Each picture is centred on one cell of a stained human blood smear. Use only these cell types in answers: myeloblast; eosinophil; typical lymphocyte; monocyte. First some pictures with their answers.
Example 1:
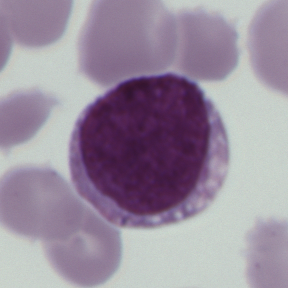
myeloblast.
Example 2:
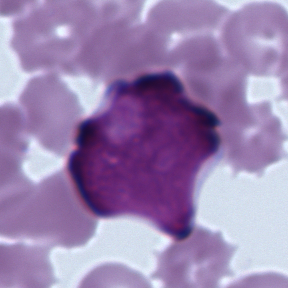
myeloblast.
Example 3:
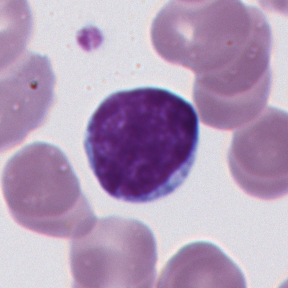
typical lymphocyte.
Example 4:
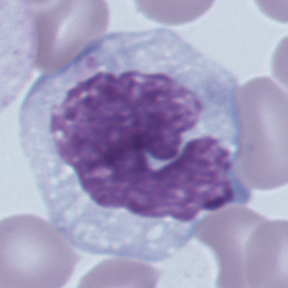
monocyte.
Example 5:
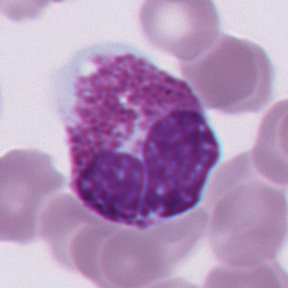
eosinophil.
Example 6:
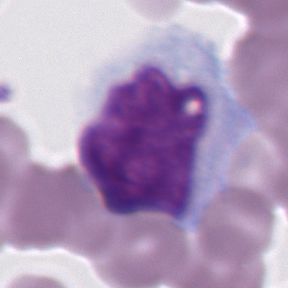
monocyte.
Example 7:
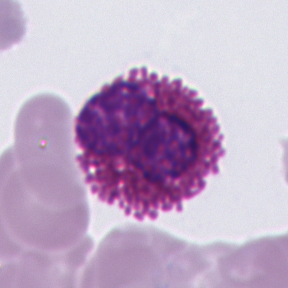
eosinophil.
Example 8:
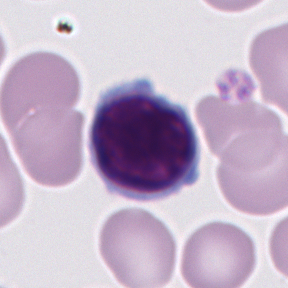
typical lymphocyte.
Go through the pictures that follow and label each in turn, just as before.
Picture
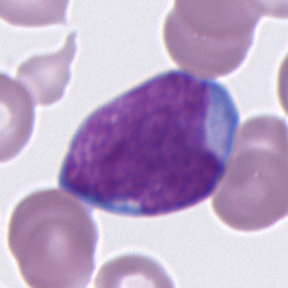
myeloblast.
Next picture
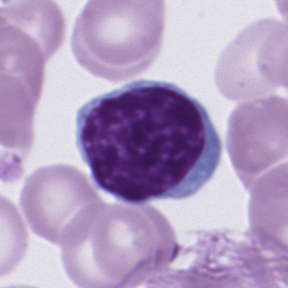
typical lymphocyte.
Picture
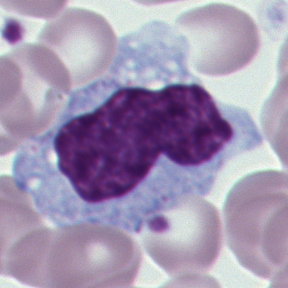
monocyte.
